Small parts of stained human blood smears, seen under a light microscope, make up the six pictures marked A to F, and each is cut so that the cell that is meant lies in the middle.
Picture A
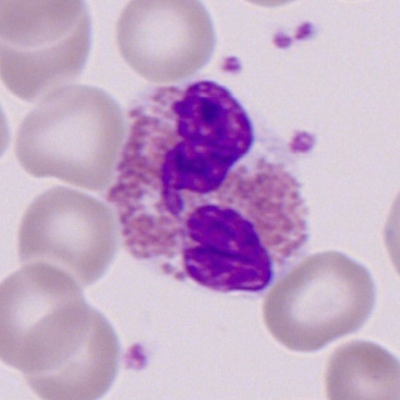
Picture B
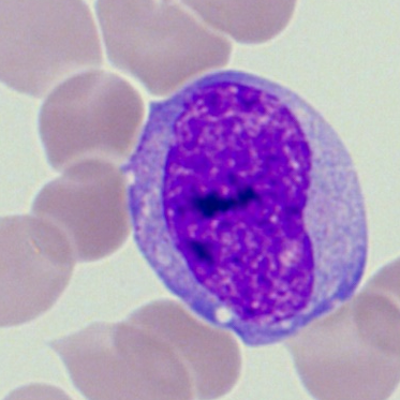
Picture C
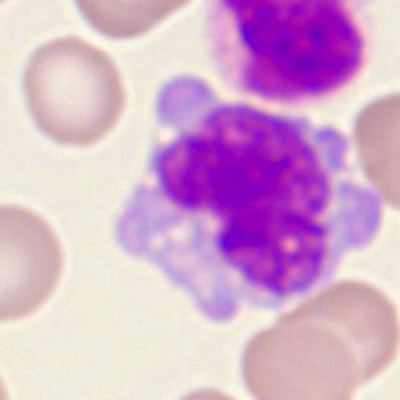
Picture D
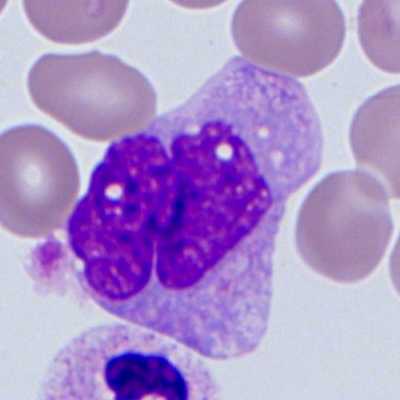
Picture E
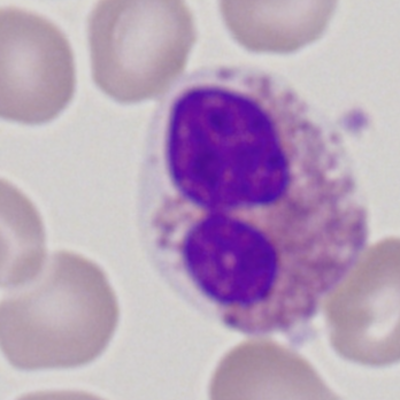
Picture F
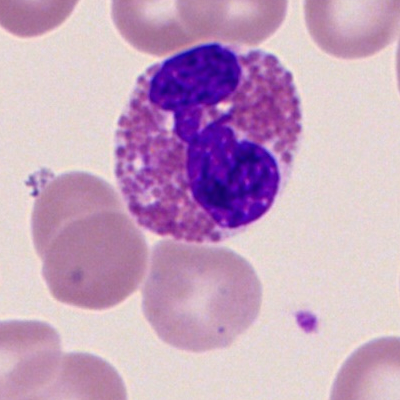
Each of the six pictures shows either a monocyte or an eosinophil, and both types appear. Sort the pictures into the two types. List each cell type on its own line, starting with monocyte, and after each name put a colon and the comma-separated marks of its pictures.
monocyte: B, C, D
eosinophil: A, E, F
